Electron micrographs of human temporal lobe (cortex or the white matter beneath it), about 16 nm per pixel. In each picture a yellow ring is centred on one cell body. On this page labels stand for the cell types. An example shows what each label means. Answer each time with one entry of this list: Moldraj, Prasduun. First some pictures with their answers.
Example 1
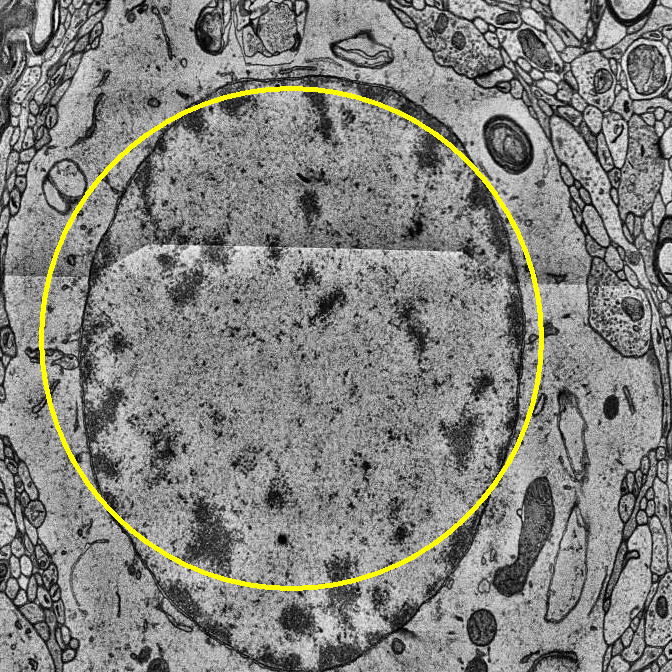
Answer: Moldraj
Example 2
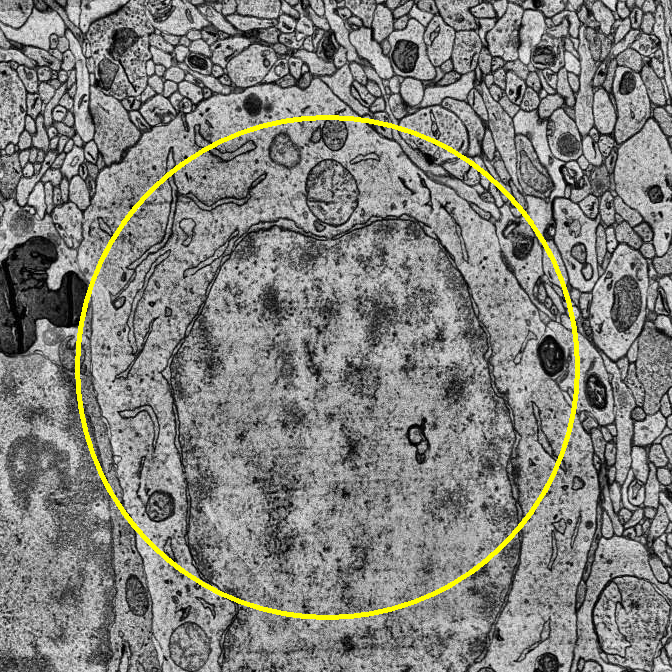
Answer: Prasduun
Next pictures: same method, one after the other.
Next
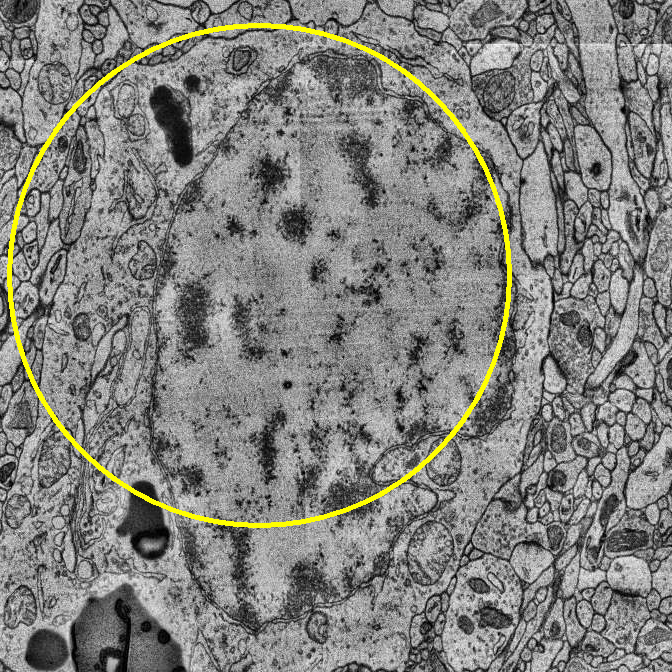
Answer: Prasduun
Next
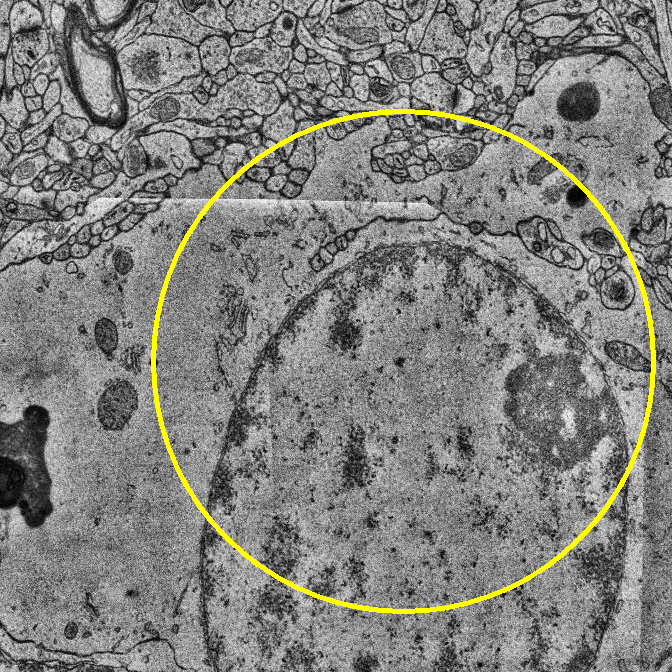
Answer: Moldraj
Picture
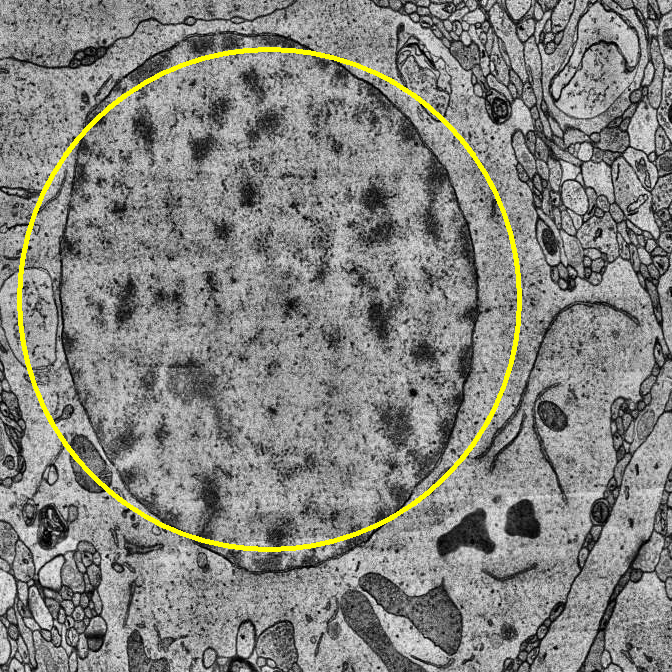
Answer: Moldraj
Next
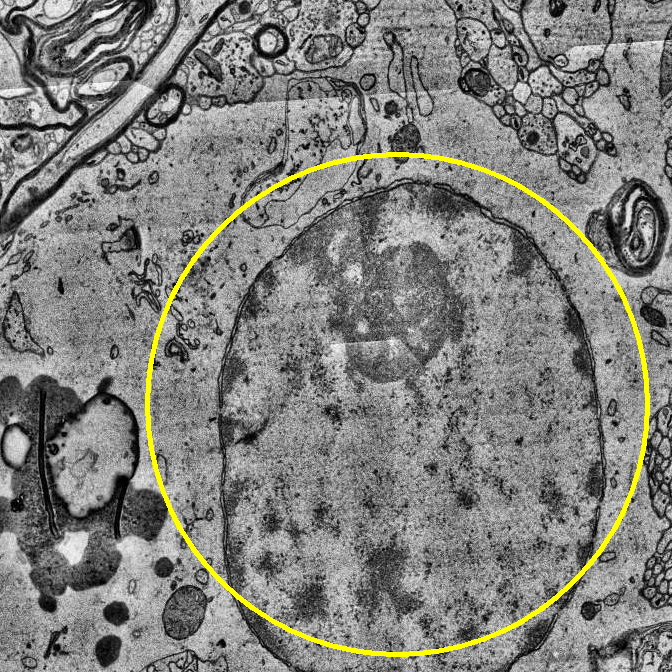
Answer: Moldraj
